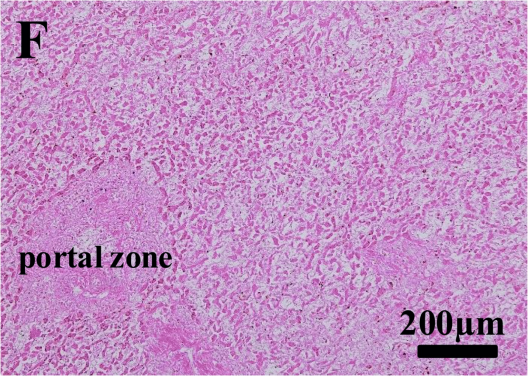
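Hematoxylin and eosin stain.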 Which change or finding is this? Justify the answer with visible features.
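Coagulation necrosis. Pink cell outlines are preserved across the field. Nuclei are largely absent or very faint. The cytoplasm is uniformly pink.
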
